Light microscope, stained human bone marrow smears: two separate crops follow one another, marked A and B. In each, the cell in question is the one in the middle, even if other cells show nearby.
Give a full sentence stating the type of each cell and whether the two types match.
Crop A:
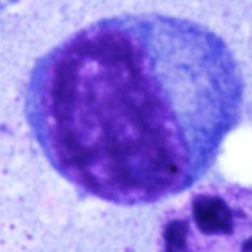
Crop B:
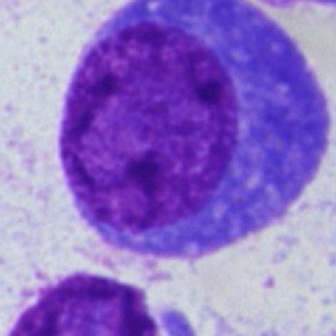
Yes, both crops do show plasma cells in the middle.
